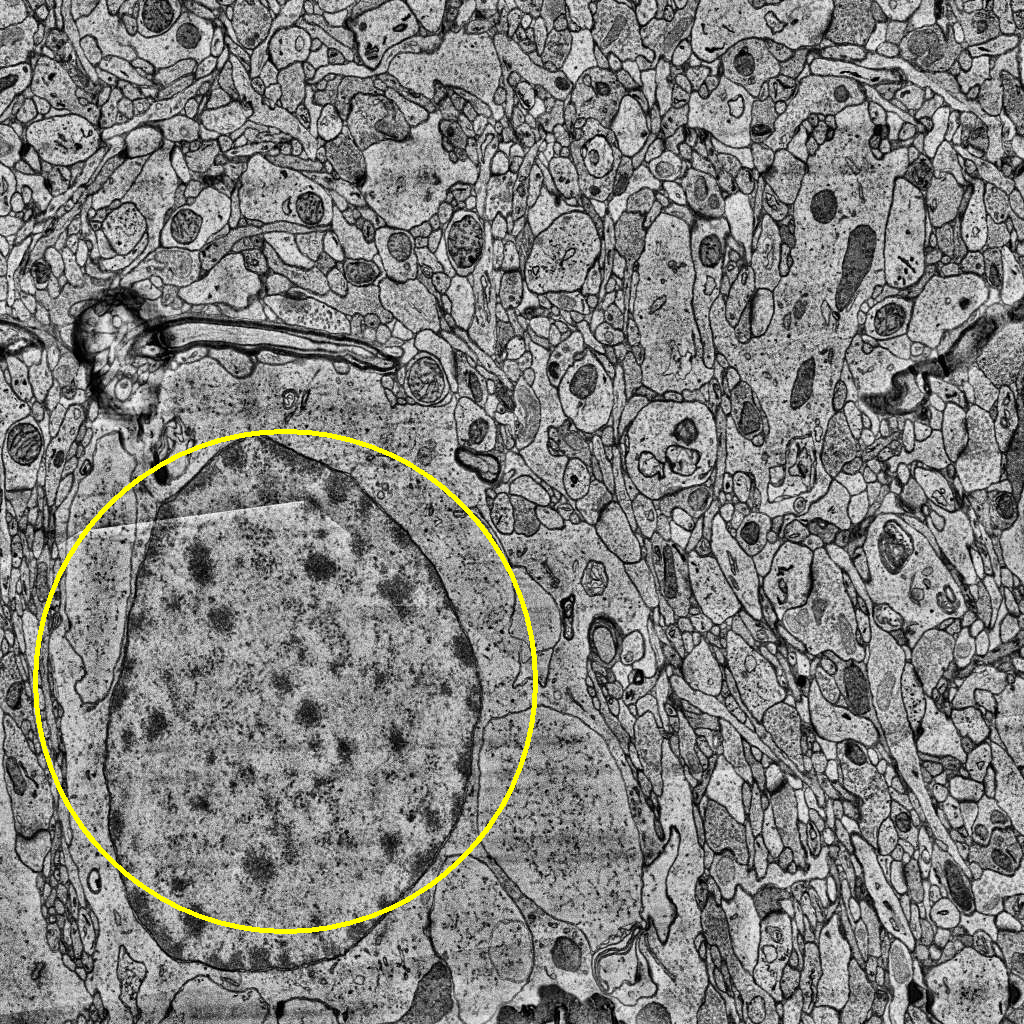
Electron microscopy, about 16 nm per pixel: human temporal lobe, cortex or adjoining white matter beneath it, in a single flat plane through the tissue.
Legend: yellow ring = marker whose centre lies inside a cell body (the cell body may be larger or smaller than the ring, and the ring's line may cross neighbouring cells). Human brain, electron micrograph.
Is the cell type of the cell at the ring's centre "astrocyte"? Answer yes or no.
yes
